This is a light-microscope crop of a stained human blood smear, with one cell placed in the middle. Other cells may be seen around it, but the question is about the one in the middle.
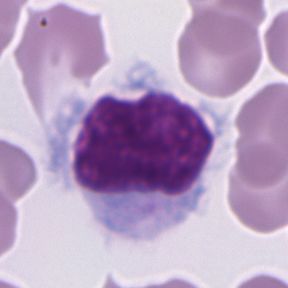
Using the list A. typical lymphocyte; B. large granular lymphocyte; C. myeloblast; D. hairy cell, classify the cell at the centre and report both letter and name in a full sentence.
The central cell in this crop is a hairy cell, so the correct choice is option D.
